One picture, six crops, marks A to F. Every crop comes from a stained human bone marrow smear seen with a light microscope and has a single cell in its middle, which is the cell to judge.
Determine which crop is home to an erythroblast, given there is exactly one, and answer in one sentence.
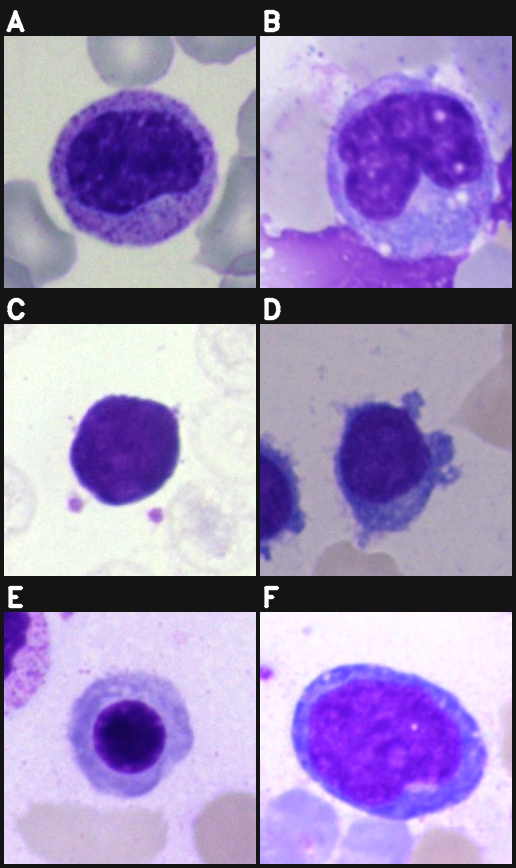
The one showing an erythroblast is the crop labelled E.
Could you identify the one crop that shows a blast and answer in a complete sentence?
Crop F is the one in the set with a blast at the center.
